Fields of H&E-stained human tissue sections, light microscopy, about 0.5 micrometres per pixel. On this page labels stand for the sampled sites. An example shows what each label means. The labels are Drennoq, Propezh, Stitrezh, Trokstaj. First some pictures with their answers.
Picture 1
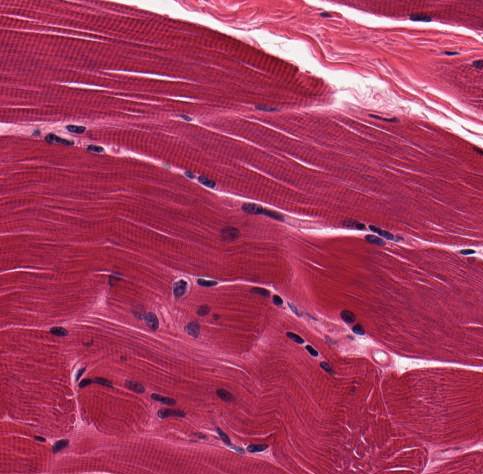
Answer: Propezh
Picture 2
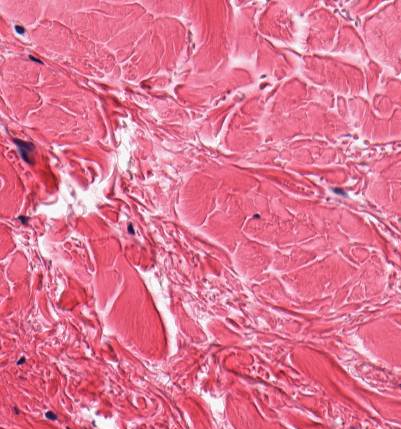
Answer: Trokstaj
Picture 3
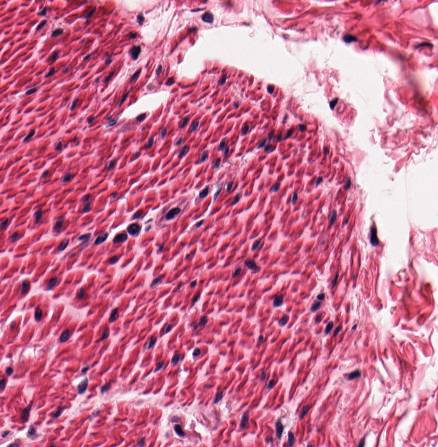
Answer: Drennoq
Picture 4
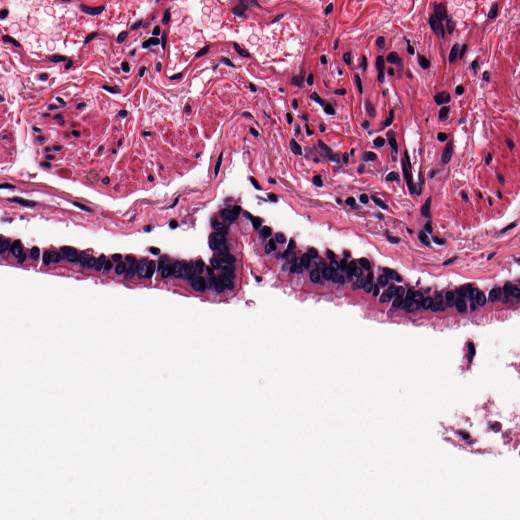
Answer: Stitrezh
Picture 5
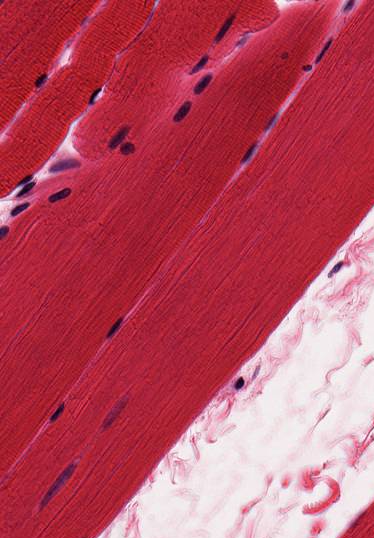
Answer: Propezh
